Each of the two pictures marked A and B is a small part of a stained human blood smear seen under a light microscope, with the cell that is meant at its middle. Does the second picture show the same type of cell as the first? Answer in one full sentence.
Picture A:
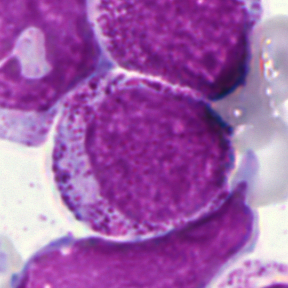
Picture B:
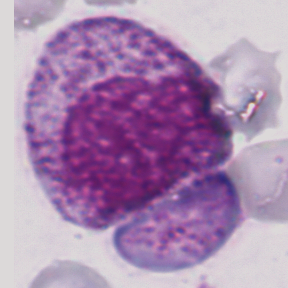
Yes, the two pictures both show myelocytes.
